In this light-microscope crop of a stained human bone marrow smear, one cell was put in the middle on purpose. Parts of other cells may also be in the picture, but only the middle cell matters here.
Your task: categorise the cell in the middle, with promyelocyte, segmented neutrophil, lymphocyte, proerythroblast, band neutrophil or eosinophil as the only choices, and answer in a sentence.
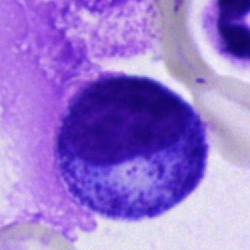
The central cell in this smear crop is a promyelocyte.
